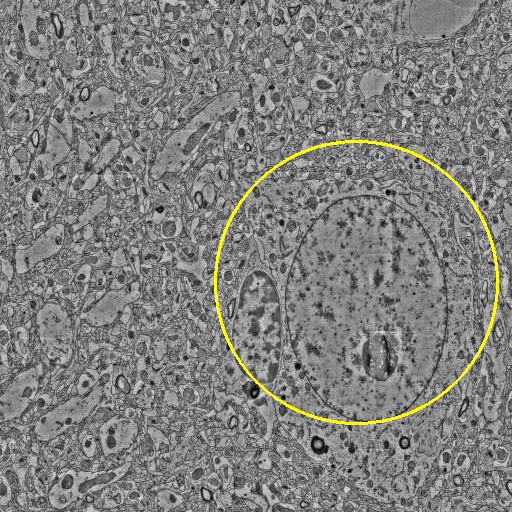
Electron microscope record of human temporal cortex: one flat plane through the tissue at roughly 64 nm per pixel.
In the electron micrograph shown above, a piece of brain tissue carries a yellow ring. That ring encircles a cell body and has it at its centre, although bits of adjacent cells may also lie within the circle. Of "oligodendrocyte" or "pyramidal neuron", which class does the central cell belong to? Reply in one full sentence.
The cell body at the centre of the yellow ring belongs to a pyramidal neuron.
